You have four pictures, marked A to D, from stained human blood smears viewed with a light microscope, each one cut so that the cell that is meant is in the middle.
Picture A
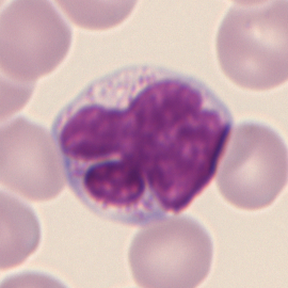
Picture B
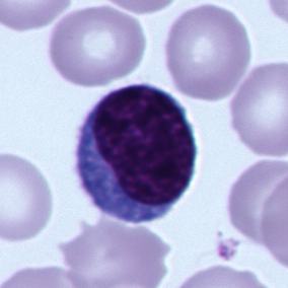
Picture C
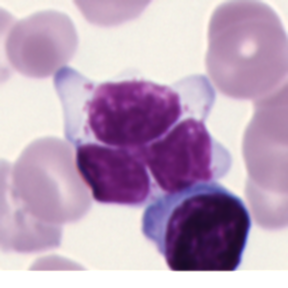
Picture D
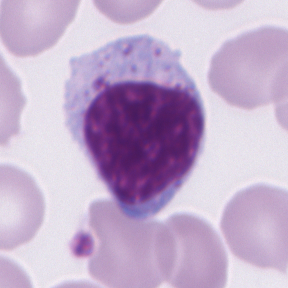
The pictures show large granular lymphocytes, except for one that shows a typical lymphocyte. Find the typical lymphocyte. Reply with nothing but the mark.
B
